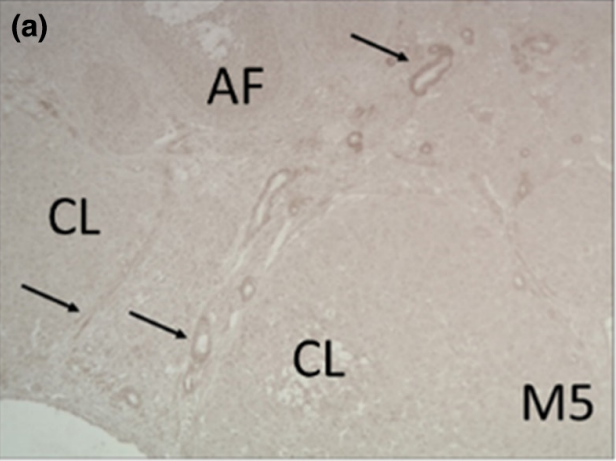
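Faint brown stain lines the walls of small vessels, seen as small rings with open lumens and as short elongated profiles in the stroma between the rounded bodies. The rest of the tissue is pale beige with little stain. Vessels cluster in the septa and near the follicle at the top.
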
